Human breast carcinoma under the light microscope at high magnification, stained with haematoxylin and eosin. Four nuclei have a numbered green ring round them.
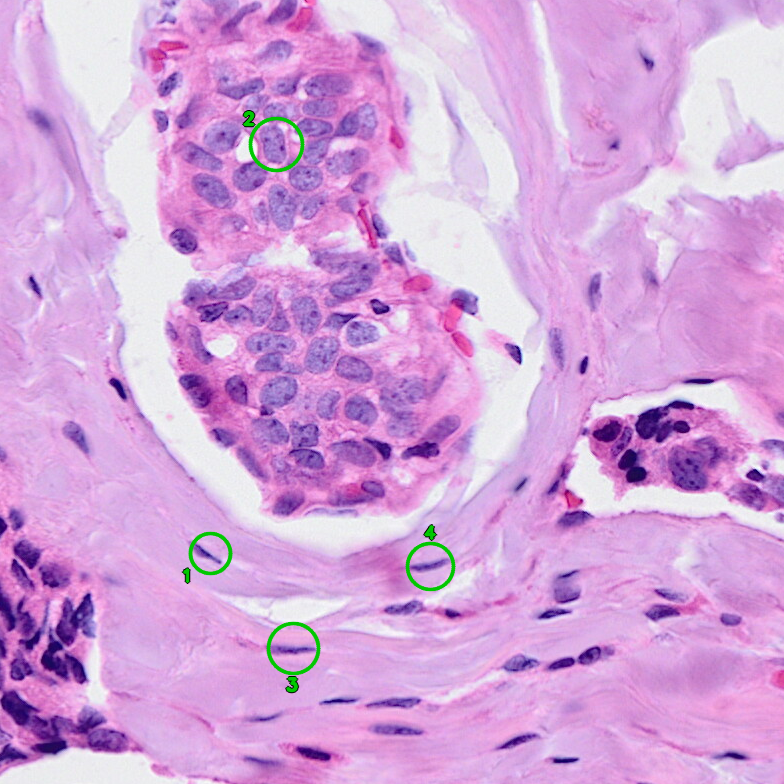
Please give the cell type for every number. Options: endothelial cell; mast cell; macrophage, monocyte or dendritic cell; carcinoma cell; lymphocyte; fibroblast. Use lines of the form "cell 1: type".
cell 1: fibroblast
cell 2: carcinoma cell
cell 3: fibroblast
cell 4: fibroblast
